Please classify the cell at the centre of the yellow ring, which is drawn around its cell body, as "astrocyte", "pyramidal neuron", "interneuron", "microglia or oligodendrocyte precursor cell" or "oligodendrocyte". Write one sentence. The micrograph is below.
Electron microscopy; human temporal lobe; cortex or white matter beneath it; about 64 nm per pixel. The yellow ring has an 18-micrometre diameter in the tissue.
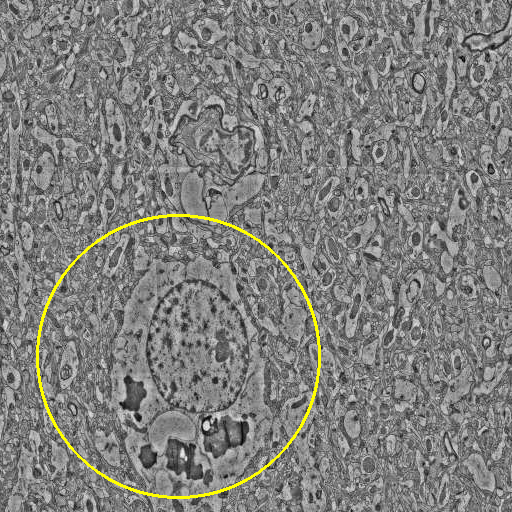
The cell at the ring's centre is classified as an astrocyte.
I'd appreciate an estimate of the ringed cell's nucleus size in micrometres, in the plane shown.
In this plane, approximately 9 by 7 micrometers.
